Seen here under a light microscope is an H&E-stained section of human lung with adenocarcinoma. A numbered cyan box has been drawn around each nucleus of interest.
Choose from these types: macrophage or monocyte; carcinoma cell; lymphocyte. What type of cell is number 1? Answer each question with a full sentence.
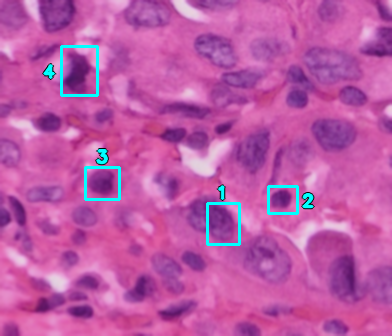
What the number 1 marks in this field is a carcinoma cell.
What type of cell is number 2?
The nucleus with number 2 is that of a lymphocyte.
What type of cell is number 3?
The cell that is numbered 3 is a macrophage or monocyte.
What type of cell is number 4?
In this section, the cell numbered 4 is a carcinoma cell.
